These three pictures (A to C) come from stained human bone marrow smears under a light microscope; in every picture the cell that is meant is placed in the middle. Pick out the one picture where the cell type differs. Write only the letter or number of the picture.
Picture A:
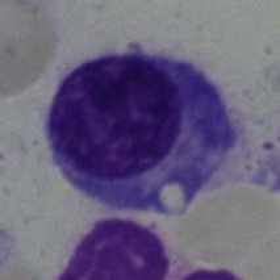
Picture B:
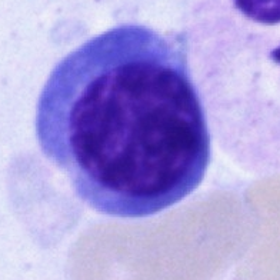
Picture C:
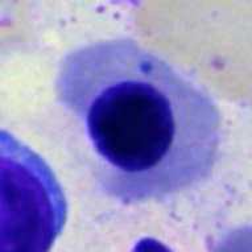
A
